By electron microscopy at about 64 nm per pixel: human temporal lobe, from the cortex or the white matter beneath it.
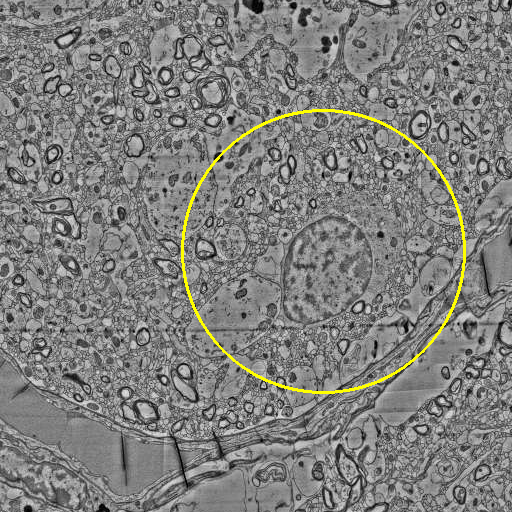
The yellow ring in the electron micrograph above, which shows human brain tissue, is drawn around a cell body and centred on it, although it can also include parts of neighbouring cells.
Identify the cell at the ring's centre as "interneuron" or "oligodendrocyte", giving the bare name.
oligodendrocyte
